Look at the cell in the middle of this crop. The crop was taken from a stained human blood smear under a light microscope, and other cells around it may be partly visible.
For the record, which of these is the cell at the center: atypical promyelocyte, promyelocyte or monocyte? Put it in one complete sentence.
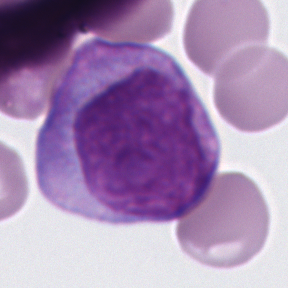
In the crop, the cell of interest at the centre is an atypical promyelocyte.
